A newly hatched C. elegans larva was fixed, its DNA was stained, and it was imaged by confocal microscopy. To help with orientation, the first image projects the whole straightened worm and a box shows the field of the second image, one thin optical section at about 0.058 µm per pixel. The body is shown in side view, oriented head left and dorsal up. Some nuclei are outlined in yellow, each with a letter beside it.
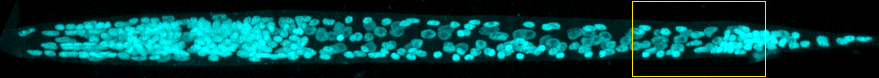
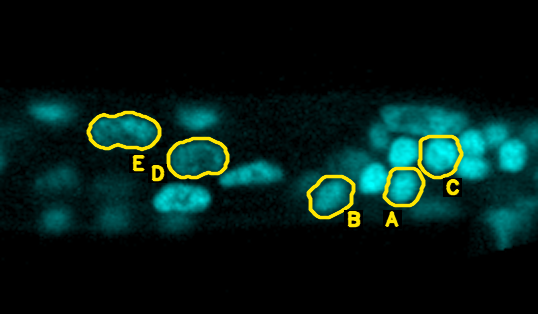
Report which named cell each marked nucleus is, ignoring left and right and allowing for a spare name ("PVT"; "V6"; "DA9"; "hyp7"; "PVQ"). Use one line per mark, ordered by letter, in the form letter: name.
A: DA9
B: PVT
C: PVQ
D: V6
E: hyp7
